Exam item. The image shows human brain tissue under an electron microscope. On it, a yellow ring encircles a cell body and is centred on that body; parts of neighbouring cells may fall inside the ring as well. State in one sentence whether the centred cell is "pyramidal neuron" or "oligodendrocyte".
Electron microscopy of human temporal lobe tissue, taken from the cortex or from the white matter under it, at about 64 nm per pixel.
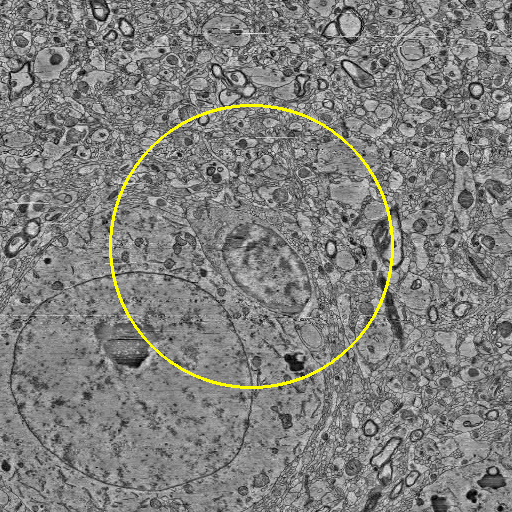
The cell body centred in the ring is an oligodendrocyte.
